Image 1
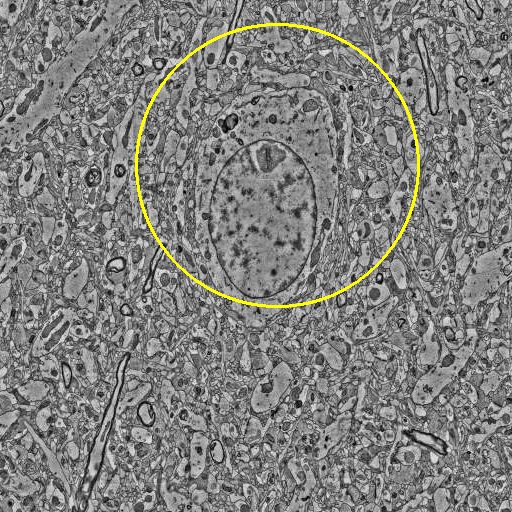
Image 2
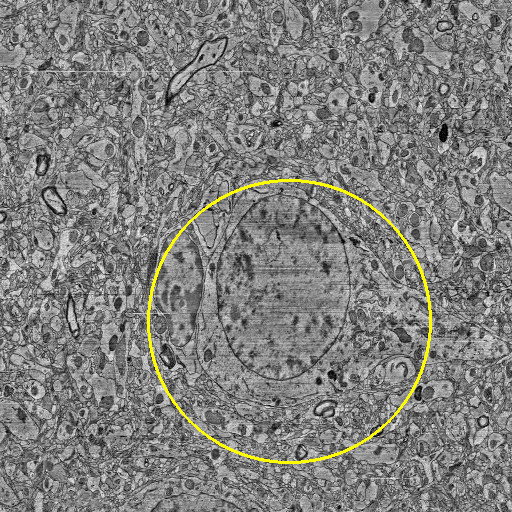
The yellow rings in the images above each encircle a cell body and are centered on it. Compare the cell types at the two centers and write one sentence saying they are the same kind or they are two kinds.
Taken together, the two cells at the ring centers are the same kind.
